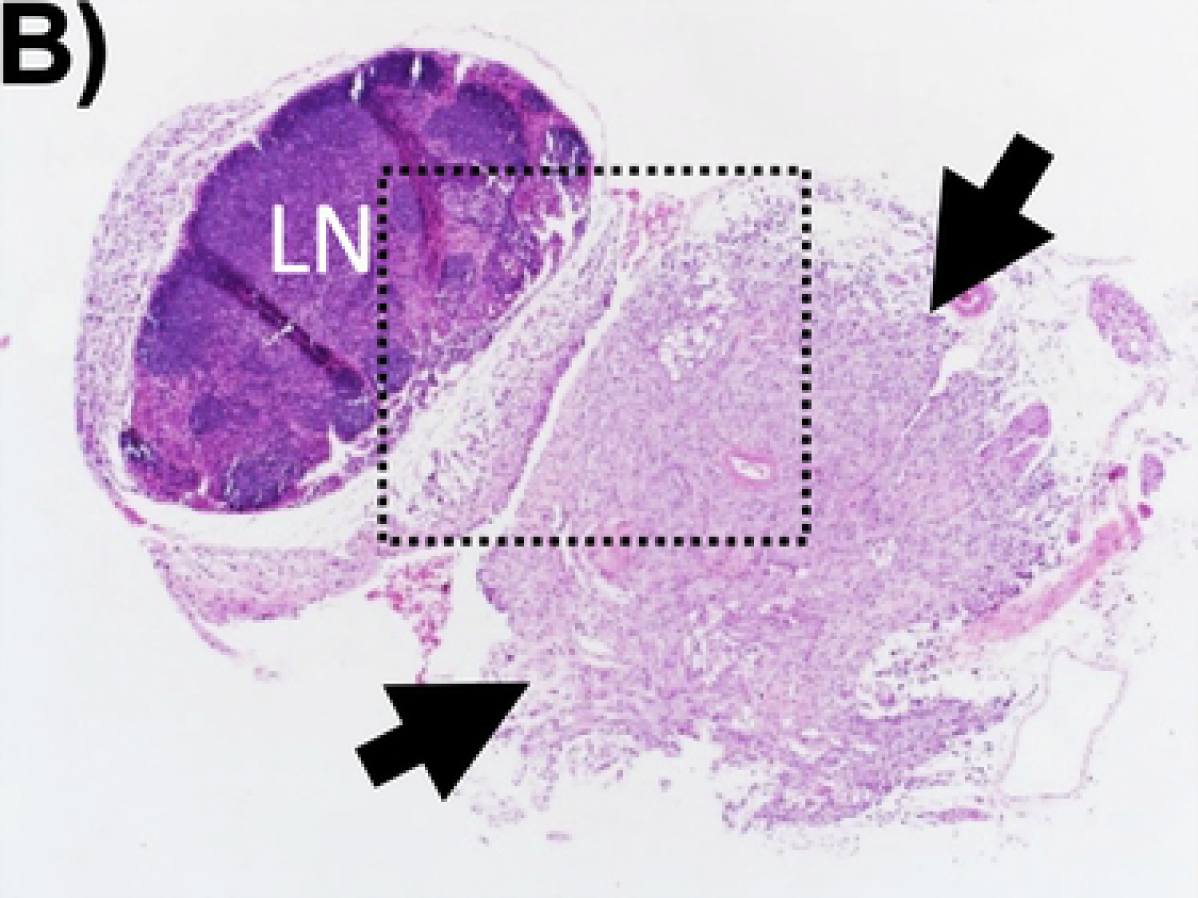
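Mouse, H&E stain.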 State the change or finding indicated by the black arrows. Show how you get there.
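The arrows point to a pale pink cellular mass beside the dark purple node. The pink mass spreads into the surrounding loose tissue. On this evidence: adjacent, locally invasive tumor.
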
